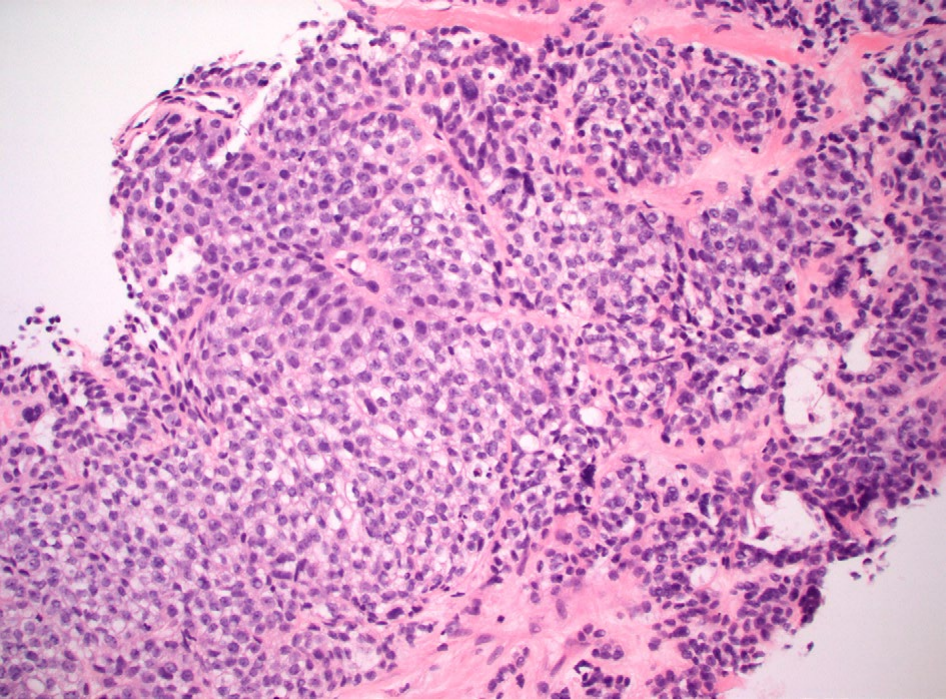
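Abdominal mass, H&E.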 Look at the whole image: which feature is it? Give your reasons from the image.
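Pink collagenous bands run between groups of tumor cells. The bands divide the cells into nodules. On this evidence: intervening fibrous bands.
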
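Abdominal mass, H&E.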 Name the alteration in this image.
Growing in sheets and large nodules.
